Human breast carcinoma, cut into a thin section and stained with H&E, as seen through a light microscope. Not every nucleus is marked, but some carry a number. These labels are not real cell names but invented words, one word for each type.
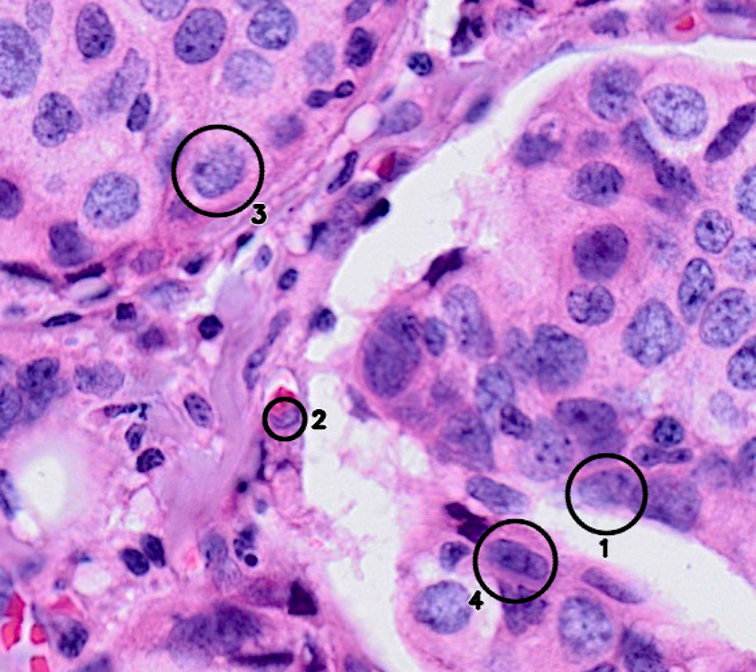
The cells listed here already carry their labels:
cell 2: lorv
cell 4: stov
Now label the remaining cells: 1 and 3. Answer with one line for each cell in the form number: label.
1: stov
3: stov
